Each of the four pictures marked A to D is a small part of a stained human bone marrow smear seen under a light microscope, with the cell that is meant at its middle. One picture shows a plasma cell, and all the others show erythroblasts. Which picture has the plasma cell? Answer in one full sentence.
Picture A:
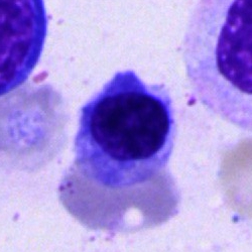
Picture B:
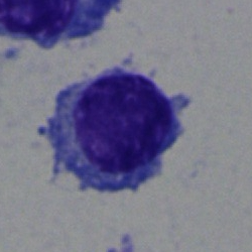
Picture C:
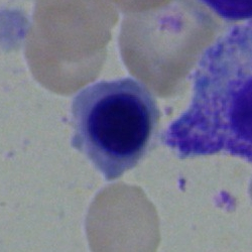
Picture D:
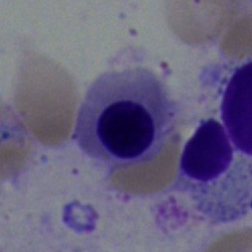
The picture with the plasma cell is B.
